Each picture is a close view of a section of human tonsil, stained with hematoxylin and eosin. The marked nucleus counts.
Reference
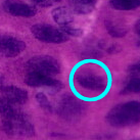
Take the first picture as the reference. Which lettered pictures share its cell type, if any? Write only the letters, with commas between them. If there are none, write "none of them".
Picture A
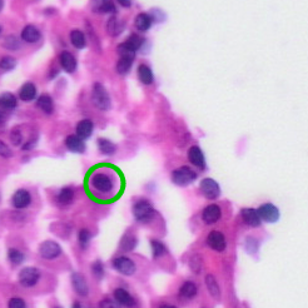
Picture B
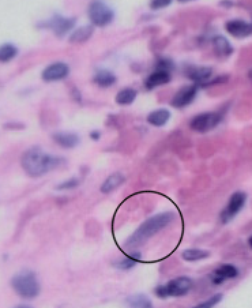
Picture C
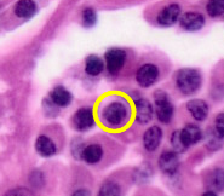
none of them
